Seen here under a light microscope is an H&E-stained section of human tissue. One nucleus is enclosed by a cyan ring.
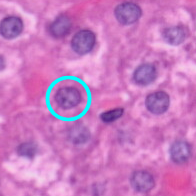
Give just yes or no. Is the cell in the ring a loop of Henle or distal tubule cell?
no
